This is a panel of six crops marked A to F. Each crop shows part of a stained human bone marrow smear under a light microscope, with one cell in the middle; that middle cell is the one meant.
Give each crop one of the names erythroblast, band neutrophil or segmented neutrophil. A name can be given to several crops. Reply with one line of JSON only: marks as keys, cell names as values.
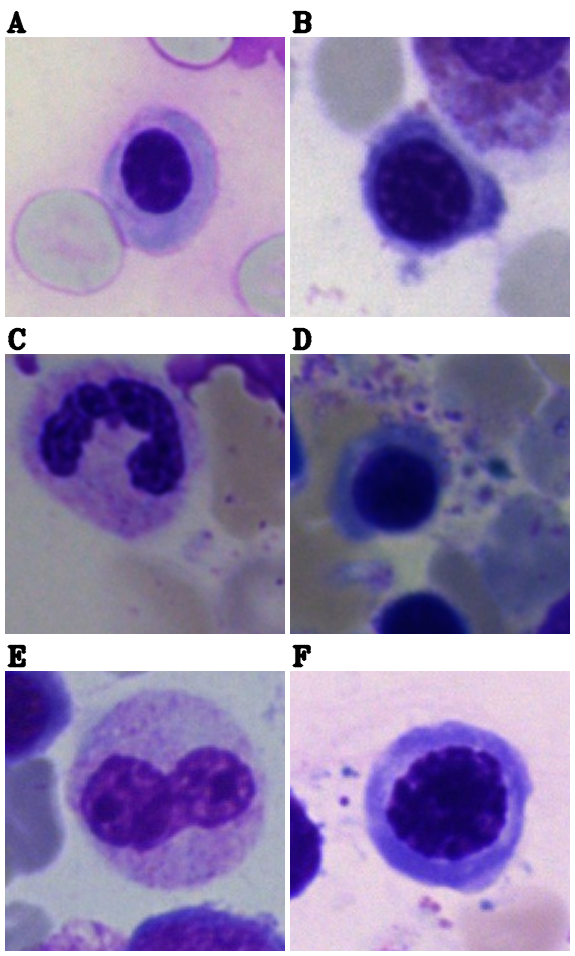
{"A": "erythroblast", "B": "erythroblast", "C": "segmented neutrophil", "D": "erythroblast", "E": "band neutrophil", "F": "erythroblast"}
